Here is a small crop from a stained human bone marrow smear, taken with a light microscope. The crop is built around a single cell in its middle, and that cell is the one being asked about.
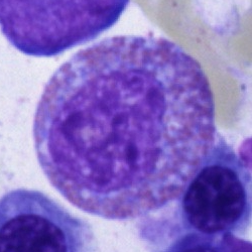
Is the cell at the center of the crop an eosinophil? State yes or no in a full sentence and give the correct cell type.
No, the central cell qualifies as a myelocyte rather than as an eosinophil.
